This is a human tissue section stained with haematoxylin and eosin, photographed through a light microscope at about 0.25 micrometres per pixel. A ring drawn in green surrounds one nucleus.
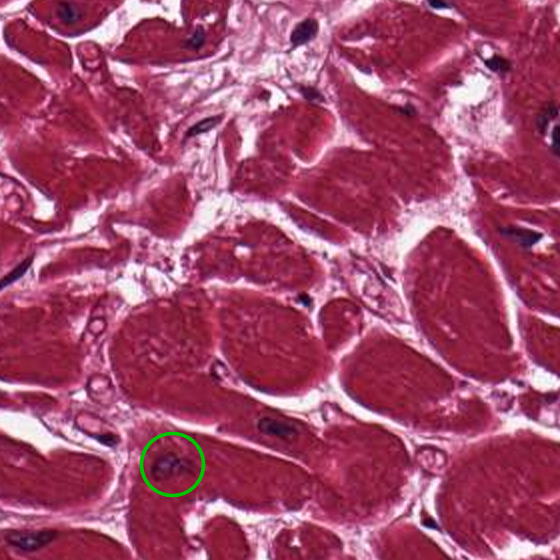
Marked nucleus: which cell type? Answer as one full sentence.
Marked in this picture is the nucleus of a cardiomyocyte.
